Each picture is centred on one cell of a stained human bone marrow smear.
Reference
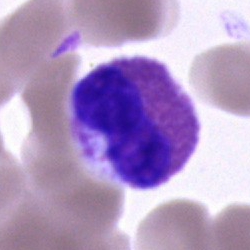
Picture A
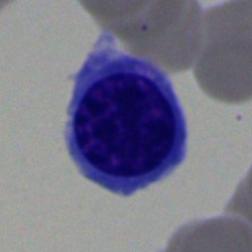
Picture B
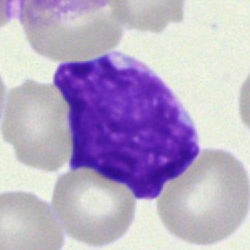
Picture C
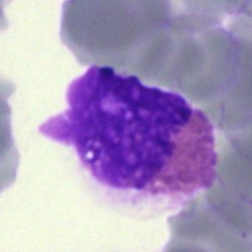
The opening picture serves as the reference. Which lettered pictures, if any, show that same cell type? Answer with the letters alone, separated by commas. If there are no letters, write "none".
C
